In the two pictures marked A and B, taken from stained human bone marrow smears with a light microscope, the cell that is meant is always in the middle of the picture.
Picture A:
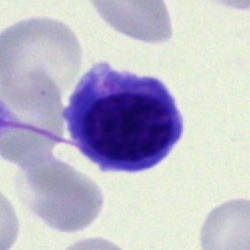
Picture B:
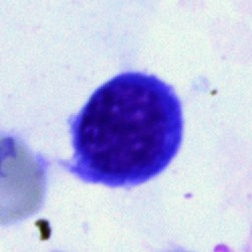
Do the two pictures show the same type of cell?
yes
